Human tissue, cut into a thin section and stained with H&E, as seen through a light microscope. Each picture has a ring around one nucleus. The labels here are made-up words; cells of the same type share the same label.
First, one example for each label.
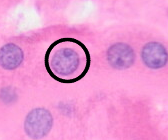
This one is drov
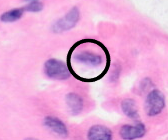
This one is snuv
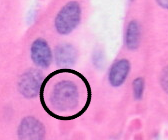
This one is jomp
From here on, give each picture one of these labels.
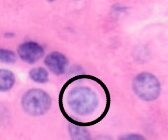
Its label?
jomp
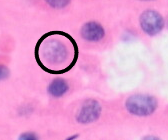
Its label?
snuv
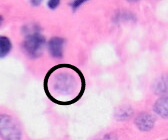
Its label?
snuv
